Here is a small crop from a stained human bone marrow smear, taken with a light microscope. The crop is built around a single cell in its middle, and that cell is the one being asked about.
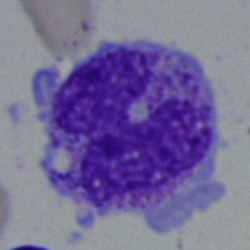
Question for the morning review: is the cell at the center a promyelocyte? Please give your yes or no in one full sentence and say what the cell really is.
No, the central cell is counted as a monocyte instead of a promyelocyte.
